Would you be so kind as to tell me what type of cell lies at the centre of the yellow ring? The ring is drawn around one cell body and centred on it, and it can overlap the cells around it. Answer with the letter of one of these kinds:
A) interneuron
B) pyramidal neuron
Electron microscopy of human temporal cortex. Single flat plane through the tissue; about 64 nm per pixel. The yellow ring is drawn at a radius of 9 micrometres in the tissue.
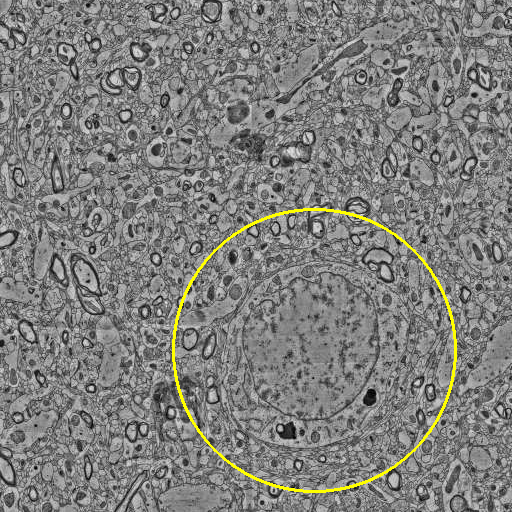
B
